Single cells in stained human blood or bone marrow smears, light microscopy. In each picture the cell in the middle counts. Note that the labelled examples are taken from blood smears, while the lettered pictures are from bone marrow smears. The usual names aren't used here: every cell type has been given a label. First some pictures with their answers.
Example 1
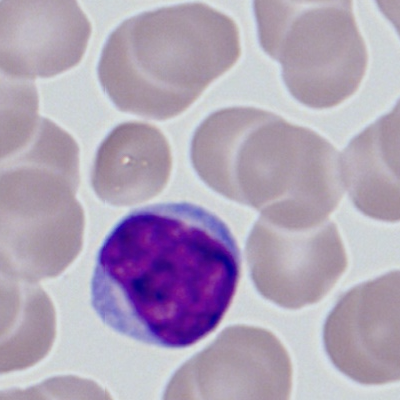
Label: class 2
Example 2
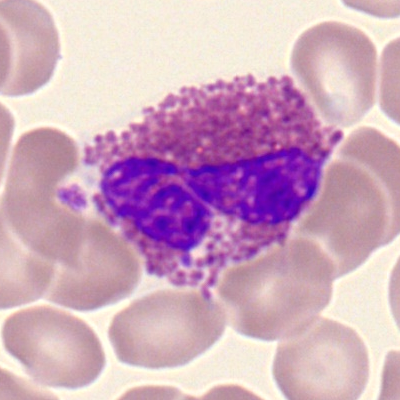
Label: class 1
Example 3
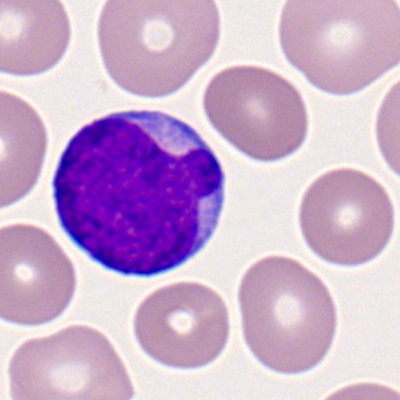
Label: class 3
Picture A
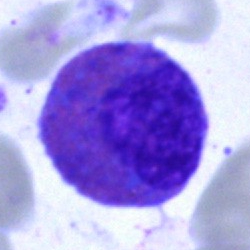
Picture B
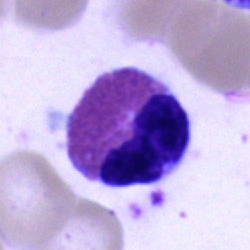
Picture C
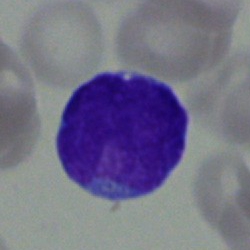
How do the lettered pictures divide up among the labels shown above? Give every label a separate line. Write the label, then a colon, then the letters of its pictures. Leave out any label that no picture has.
class 1: A, B
class 3: C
